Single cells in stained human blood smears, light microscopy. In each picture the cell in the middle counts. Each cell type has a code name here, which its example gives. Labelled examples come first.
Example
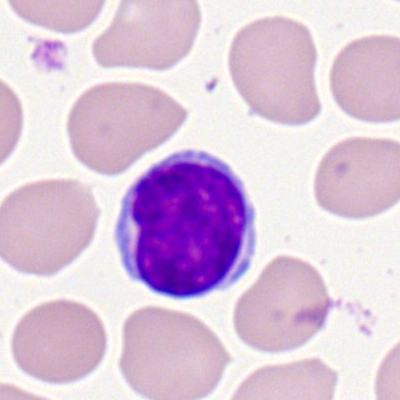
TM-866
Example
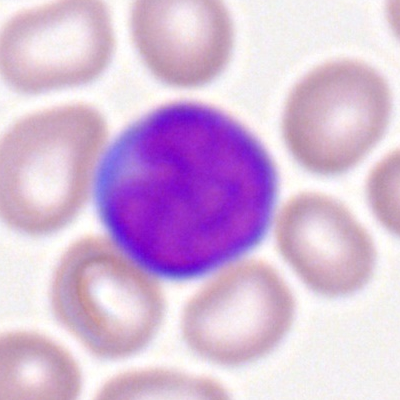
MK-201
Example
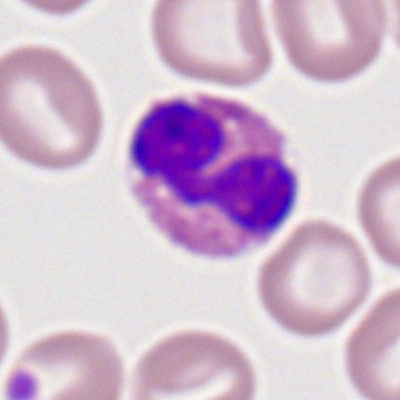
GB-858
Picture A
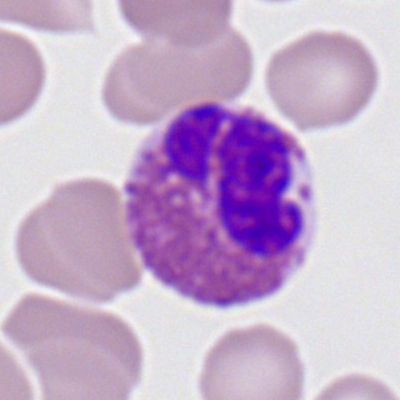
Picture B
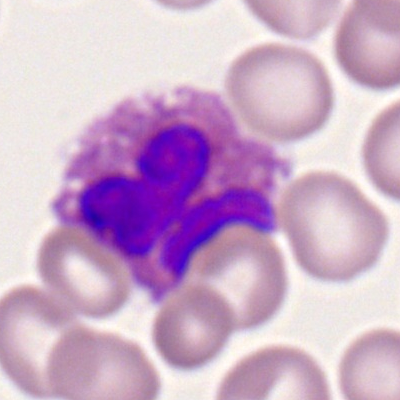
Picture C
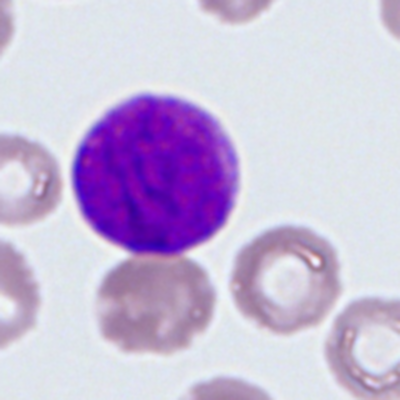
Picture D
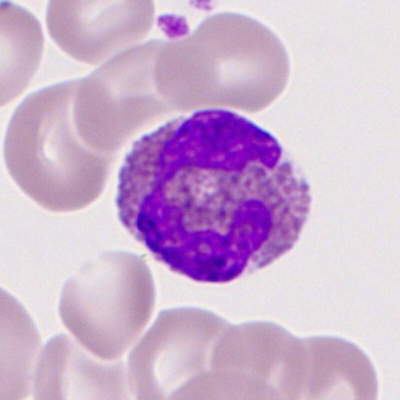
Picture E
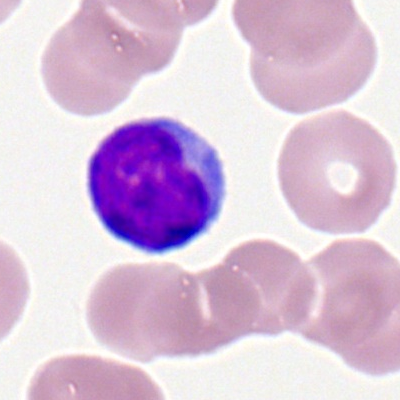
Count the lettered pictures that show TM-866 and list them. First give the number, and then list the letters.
1: E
